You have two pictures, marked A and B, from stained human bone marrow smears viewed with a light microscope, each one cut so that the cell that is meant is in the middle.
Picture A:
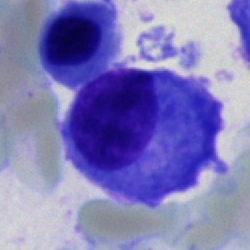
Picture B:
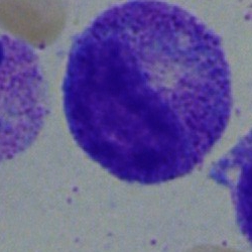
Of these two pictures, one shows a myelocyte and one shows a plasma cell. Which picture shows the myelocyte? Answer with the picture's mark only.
B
